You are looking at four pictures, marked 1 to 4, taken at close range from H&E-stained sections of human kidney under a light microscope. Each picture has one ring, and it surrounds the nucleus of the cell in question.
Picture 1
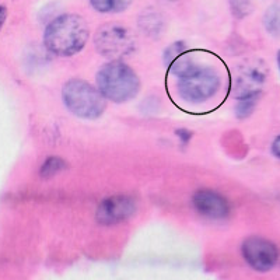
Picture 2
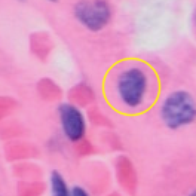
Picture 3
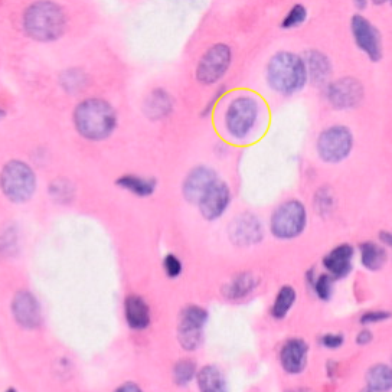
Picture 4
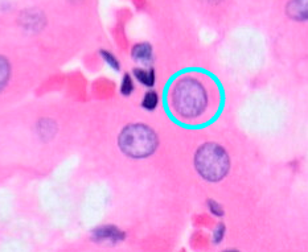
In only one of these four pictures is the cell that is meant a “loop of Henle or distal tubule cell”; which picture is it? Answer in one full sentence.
The picture with the “loop of Henle or distal tubule cell” is 2.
